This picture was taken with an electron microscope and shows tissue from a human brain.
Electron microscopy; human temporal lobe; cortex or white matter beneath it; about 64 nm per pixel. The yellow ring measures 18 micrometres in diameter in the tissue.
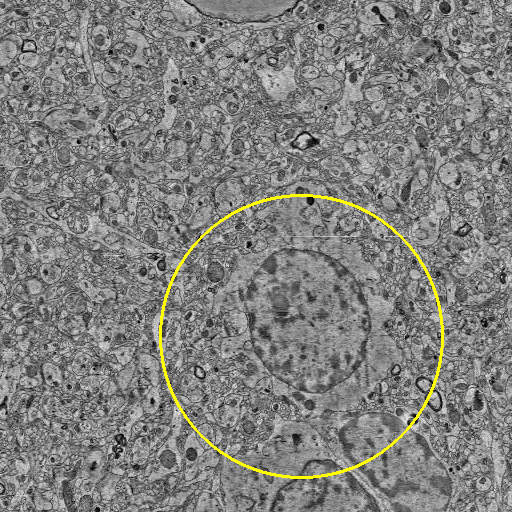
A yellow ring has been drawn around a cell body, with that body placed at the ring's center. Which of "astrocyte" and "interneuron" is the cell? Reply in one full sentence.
In this picture, an astrocyte is the cell at the center of the yellow ring.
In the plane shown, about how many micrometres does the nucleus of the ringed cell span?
In this plane the nucleus measures roughly 10 by 8 micrometers.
